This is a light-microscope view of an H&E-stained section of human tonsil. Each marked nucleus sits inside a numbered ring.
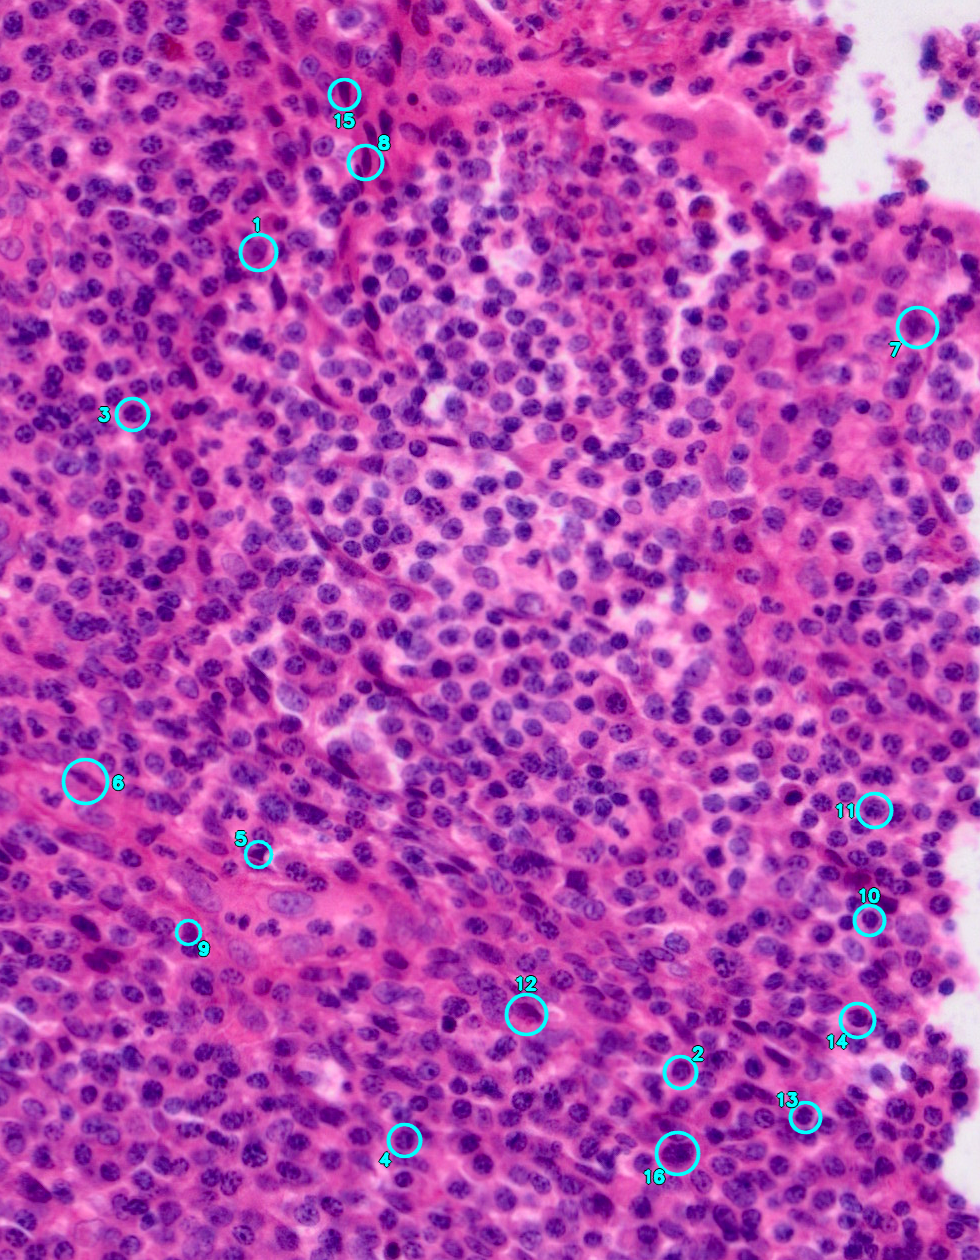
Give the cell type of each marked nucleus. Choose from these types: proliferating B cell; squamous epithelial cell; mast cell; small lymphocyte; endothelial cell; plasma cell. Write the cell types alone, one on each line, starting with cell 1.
squamous epithelial cell
plasma cell
plasma cell
plasma cell
squamous epithelial cell
squamous epithelial cell
squamous epithelial cell
squamous epithelial cell
squamous epithelial cell
small lymphocyte
plasma cell
squamous epithelial cell
plasma cell
plasma cell
squamous epithelial cell
squamous epithelial cell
